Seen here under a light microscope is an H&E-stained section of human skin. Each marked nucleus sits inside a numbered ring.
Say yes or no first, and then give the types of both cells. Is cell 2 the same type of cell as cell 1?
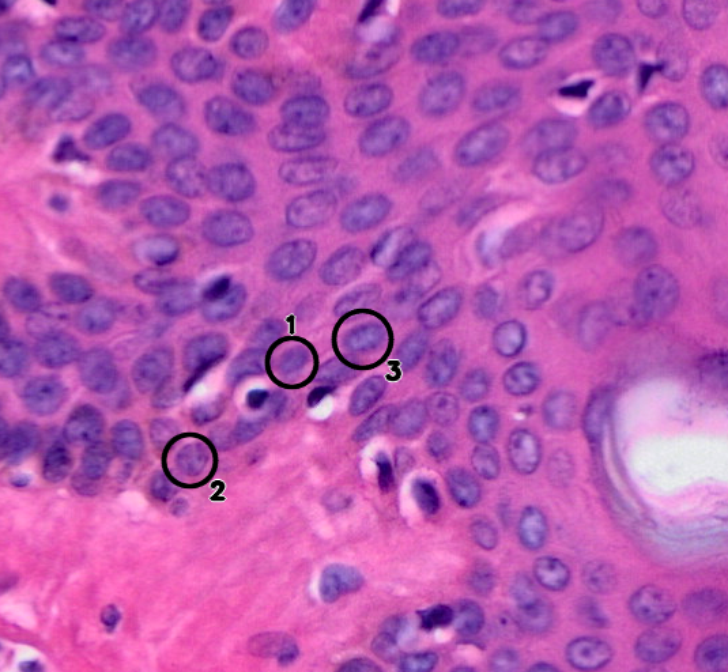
Yes, in the case of cells 2 and 1, both are basal keratinocytes.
